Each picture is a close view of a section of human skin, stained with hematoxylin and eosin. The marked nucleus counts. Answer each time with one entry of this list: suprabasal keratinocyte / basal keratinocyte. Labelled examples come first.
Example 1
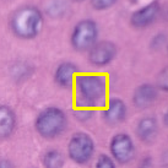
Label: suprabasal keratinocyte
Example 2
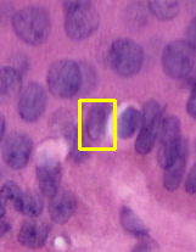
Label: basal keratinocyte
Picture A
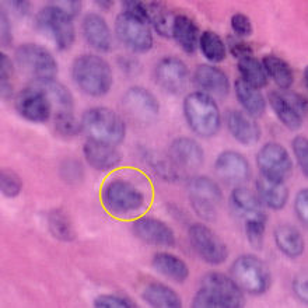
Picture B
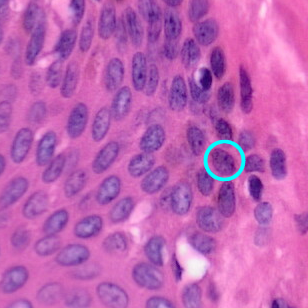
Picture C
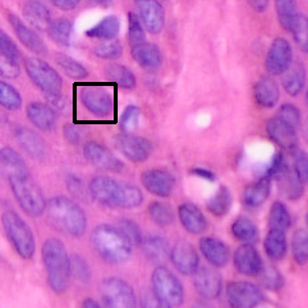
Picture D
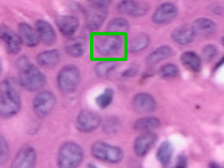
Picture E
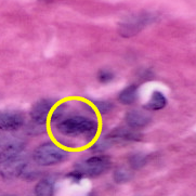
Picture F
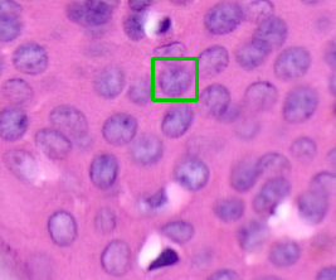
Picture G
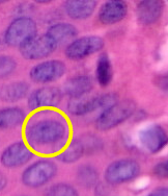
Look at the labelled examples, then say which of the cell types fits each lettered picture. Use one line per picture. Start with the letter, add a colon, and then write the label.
A: basal keratinocyte
B: basal keratinocyte
C: basal keratinocyte
D: suprabasal keratinocyte
E: basal keratinocyte
F: suprabasal keratinocyte
G: suprabasal keratinocyte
